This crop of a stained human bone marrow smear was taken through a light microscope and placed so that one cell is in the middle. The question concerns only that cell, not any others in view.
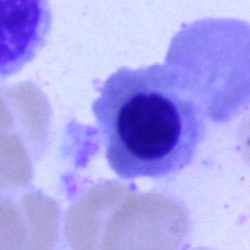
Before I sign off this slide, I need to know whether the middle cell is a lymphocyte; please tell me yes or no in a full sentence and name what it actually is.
No, the central cell is classed as an erythroblast and not as a lymphocyte.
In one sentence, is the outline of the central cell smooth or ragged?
The edge of the cell is broken up by ragged stretches or by outward projections.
